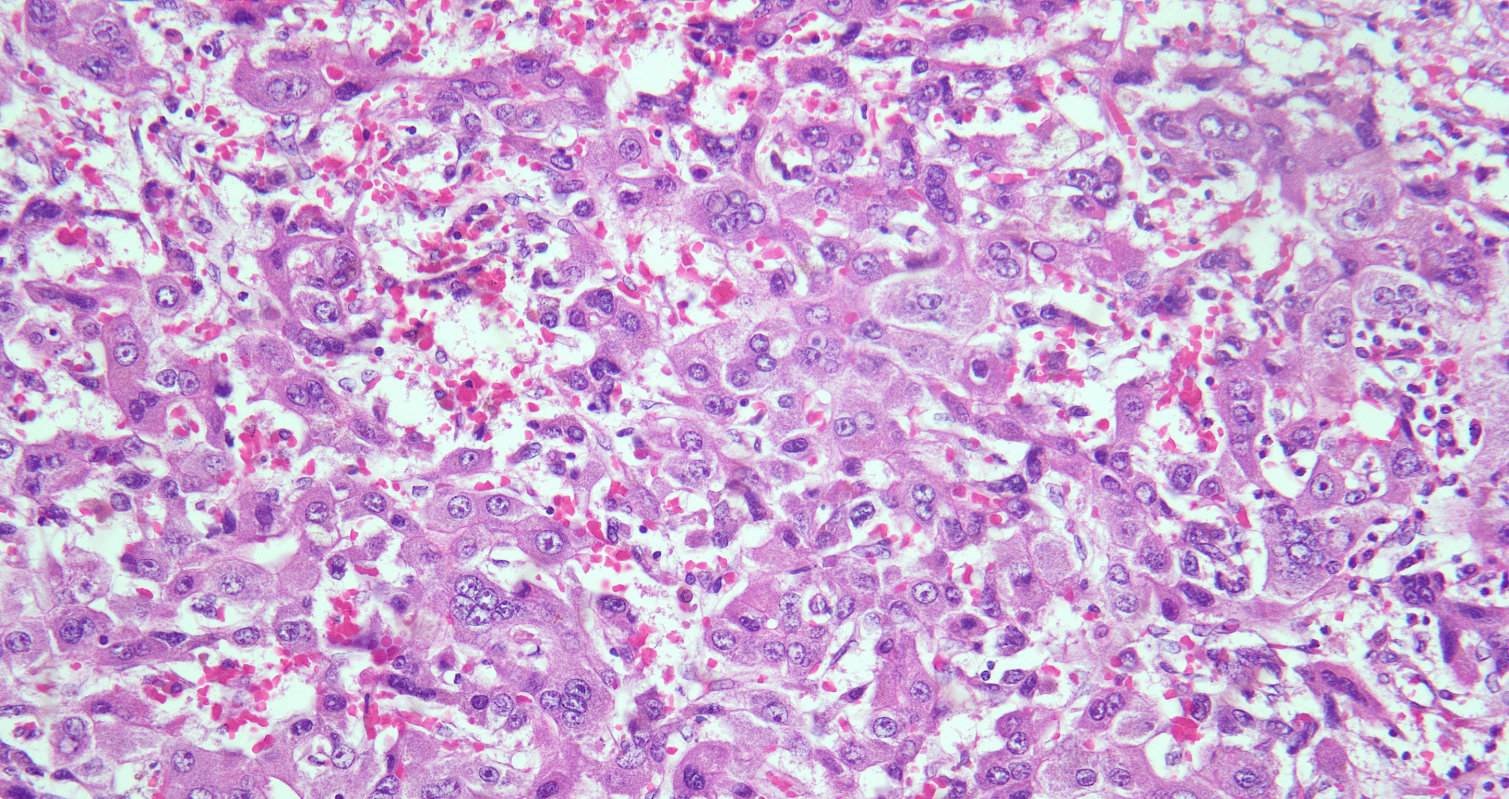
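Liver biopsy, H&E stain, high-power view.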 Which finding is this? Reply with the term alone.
Enlarged pleomorphic nuclei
